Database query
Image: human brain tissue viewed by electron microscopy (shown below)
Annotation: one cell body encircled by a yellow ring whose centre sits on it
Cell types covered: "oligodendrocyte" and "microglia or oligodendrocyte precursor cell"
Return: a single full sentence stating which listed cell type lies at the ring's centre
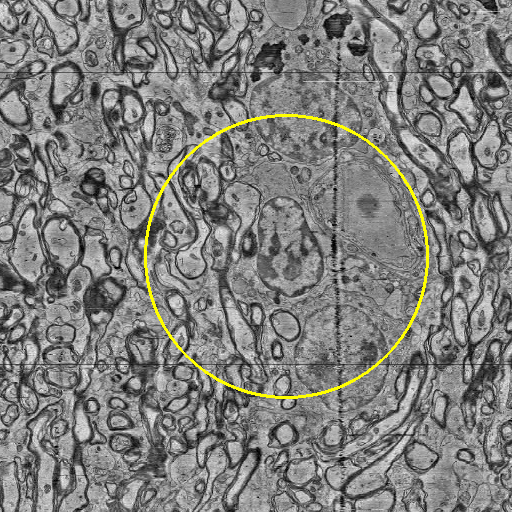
In the image, the cell lying at the ring's centre is a microglial cell or oligodendrocyte precursor cell.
